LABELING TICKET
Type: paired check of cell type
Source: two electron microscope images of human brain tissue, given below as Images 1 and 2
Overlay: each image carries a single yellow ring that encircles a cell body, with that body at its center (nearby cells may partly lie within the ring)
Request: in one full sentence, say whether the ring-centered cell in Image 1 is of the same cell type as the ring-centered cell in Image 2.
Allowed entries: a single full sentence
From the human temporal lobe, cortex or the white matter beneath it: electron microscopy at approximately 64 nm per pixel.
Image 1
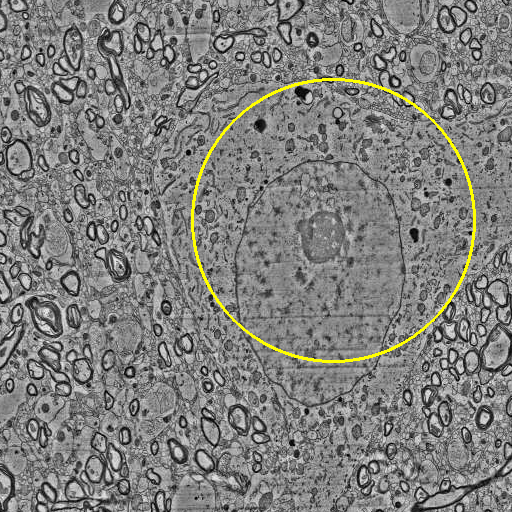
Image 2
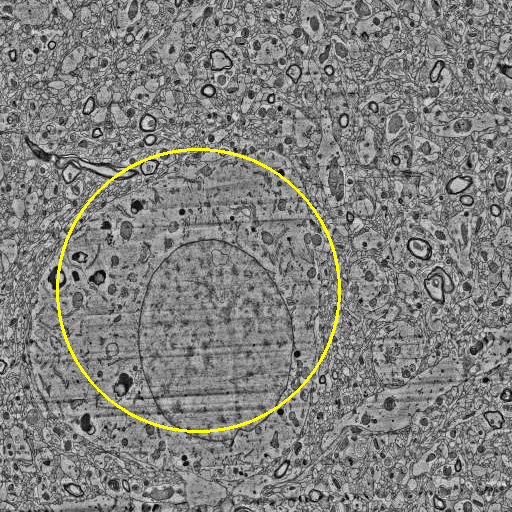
Yes, the cells centered in the rings of Image 1 and Image 2 share one type.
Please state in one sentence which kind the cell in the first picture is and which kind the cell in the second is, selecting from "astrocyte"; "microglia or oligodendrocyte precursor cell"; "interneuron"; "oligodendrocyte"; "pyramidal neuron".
Each of the two pictures has a pyramidal neuron at the ring centre.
